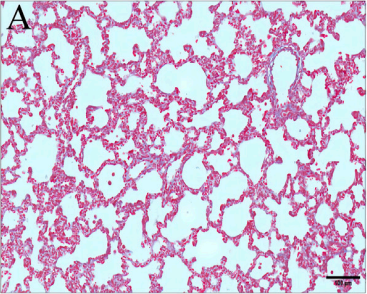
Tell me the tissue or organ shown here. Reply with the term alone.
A: lung tissue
